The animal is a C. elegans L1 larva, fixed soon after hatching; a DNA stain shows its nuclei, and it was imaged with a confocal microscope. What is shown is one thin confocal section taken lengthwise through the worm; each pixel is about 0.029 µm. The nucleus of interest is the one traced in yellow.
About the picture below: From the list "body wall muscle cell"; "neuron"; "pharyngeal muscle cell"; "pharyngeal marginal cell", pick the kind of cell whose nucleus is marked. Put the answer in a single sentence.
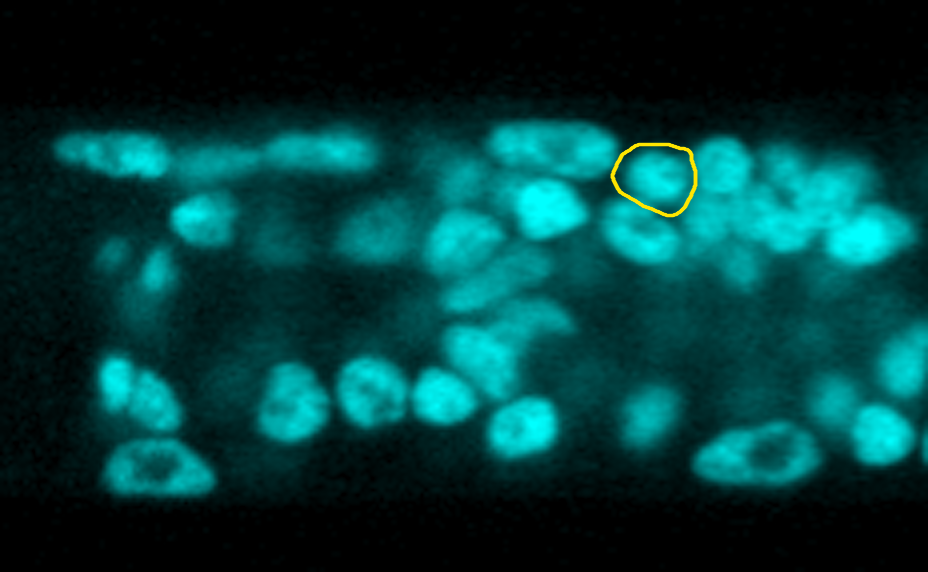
The nucleus comes from a neuron.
